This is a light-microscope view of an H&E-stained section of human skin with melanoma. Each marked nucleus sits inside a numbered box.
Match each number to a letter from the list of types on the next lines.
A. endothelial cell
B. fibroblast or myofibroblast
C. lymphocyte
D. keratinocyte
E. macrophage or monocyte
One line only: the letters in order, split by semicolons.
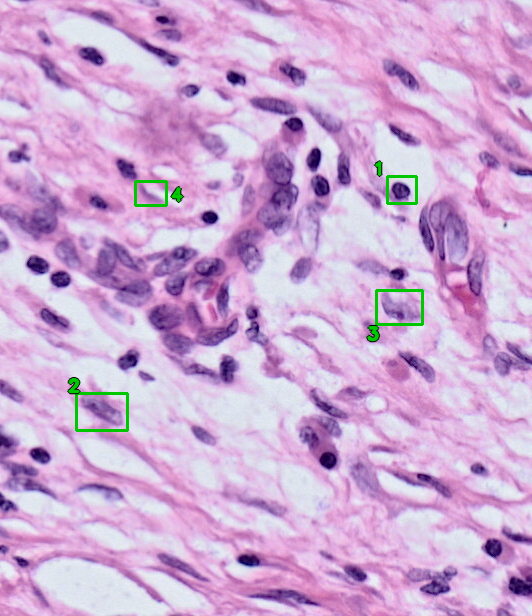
C; B; B; B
